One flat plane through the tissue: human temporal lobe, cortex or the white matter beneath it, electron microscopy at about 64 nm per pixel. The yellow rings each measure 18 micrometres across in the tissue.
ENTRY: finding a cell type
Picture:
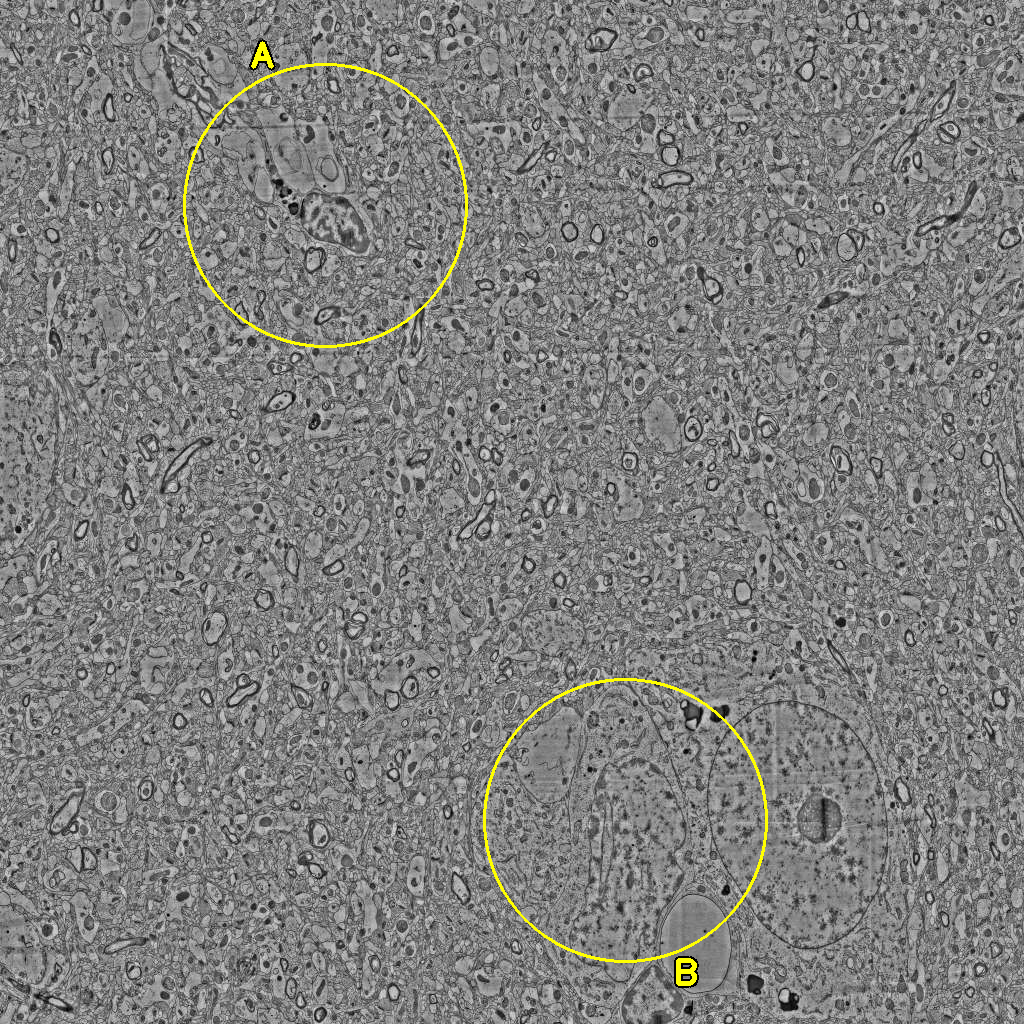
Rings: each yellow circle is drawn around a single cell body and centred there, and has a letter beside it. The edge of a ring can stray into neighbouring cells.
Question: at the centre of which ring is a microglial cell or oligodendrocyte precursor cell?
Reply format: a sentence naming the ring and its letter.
The answer is ring A, the one centred on the cell asked for.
